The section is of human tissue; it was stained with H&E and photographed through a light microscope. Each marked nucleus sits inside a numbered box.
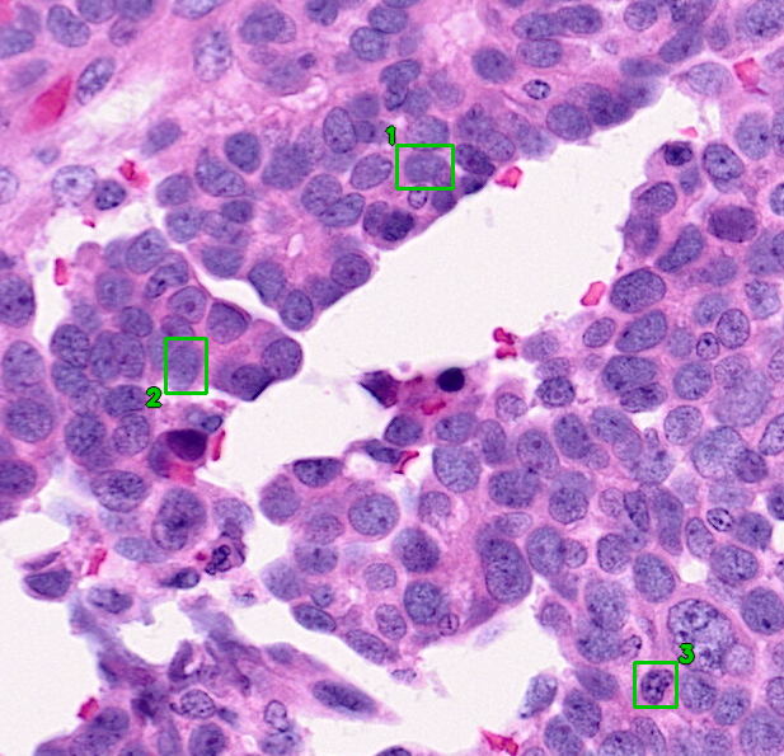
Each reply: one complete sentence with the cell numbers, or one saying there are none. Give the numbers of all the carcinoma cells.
The cells numbered 1 and 2 are of one kind: carcinoma cells.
